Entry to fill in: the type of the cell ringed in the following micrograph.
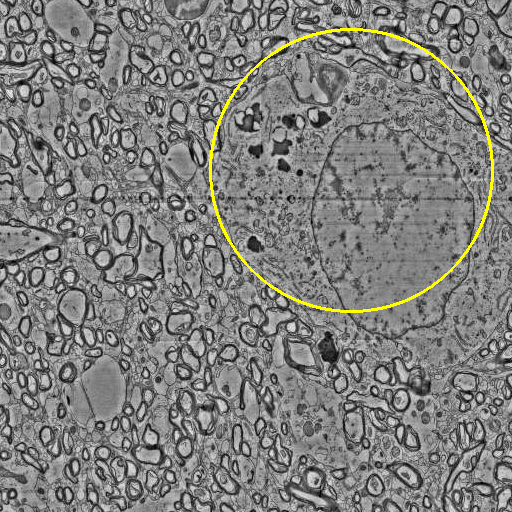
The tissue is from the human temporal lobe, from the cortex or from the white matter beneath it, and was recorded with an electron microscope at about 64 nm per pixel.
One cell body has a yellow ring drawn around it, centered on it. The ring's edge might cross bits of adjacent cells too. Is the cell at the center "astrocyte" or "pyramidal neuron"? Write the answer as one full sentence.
This entry names a pyramidal neuron as the cell whose body lies at the ring's center.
